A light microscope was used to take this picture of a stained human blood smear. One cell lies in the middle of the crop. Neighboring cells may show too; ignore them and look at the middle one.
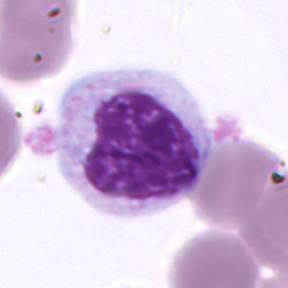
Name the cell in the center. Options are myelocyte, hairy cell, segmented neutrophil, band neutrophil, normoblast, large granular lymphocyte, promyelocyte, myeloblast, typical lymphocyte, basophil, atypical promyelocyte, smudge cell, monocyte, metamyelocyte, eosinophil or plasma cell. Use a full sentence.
At the center of the crop sits a metamyelocyte.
